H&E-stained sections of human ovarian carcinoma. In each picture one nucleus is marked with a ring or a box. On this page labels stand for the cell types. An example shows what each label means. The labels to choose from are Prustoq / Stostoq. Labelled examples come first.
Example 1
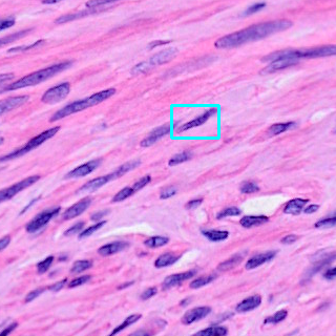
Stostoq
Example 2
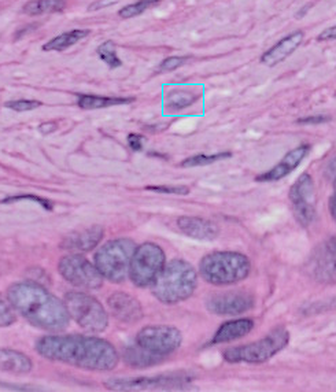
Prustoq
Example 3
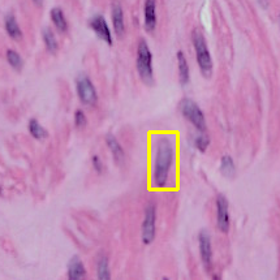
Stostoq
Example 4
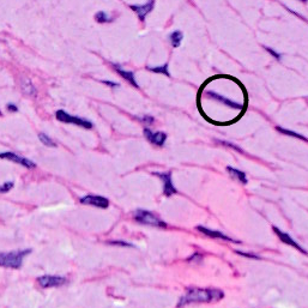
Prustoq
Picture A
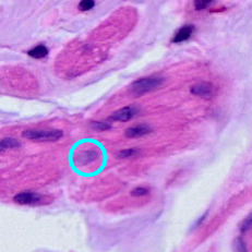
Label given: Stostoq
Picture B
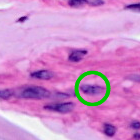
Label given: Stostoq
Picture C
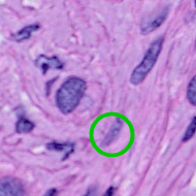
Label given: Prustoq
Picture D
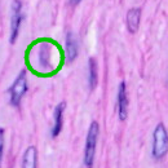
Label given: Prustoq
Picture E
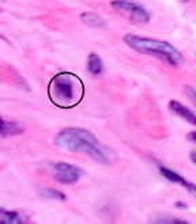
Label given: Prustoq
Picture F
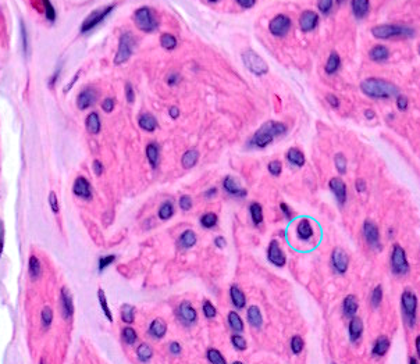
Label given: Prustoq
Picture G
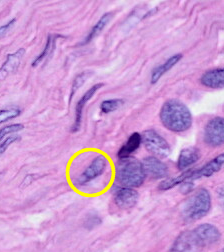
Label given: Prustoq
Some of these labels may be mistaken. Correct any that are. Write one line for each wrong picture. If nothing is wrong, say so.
E should be Stostoq, not Prustoq
F should be Stostoq, not Prustoq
